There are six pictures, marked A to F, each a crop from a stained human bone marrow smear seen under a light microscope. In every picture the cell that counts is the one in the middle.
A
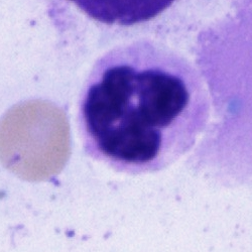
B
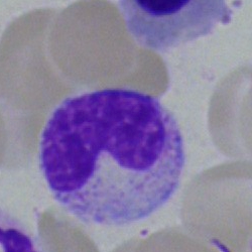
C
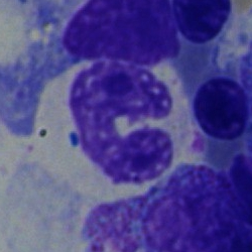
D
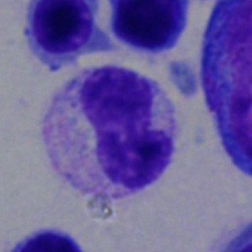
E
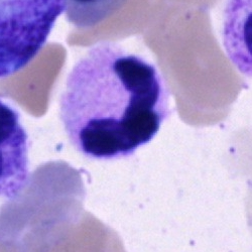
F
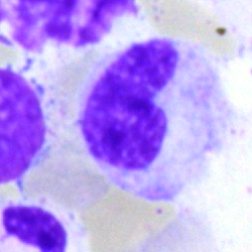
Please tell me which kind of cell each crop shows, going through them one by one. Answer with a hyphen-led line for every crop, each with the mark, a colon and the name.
- A: segmented neutrophil
- B: band neutrophil
- C: band neutrophil
- D: band neutrophil
- E: segmented neutrophil
- F: band neutrophil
